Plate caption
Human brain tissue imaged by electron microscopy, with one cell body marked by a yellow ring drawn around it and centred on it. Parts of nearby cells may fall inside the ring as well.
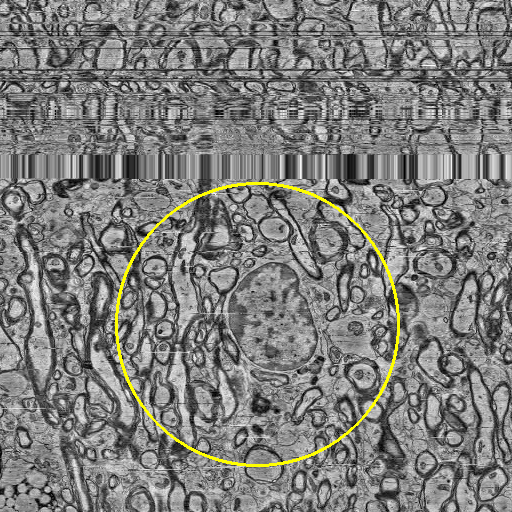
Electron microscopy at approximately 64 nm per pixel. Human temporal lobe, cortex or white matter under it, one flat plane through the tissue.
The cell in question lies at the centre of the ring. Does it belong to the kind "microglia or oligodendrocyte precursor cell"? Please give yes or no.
Yes, it belongs to that kind.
